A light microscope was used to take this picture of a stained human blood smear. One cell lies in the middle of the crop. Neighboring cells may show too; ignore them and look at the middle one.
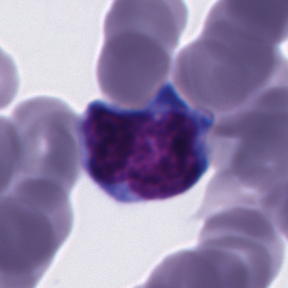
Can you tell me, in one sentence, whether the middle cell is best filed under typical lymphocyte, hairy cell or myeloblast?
Answering briefly, the cell in the middle is a typical lymphocyte.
